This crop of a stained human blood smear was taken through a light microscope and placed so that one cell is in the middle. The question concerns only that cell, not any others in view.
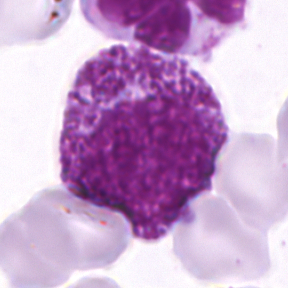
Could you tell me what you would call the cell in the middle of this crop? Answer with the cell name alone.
myelocyte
